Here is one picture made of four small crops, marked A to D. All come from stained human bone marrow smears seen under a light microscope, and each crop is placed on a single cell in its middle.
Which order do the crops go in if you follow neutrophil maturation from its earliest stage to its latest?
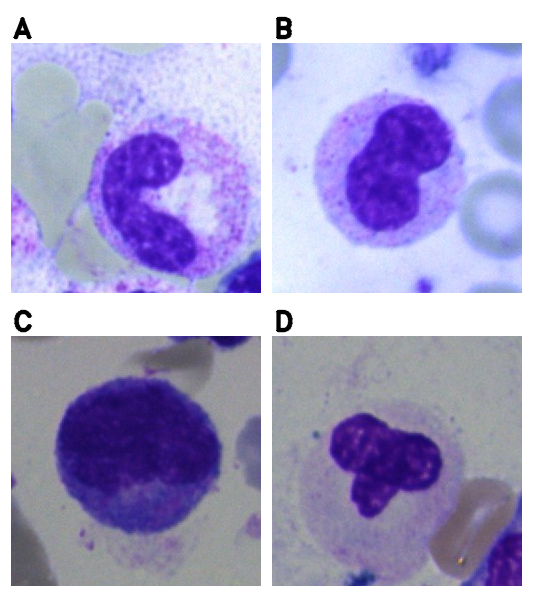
C, B, A, D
